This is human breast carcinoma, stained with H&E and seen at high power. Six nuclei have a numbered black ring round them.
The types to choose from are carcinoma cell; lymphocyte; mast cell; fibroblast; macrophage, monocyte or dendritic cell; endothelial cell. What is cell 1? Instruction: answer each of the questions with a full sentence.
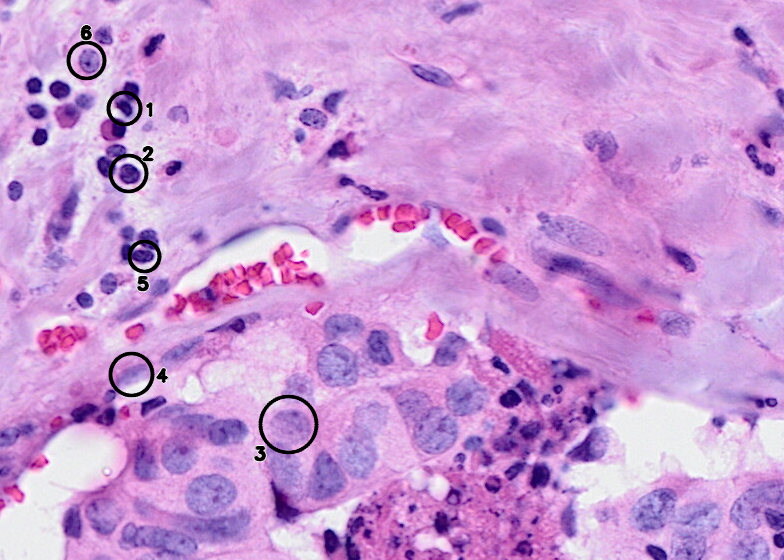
Among the marked cells, number 1 is a lymphocyte.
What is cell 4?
Among the marked nuclei, number 4 belongs to an endothelial cell.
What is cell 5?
The label 5 in this section denotes a lymphocyte.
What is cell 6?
Among the marked nuclei, number 6 belongs to a mast cell.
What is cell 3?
Belonging to a carcinoma cell is the nucleus that carries the number 3.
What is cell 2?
Identified by the number 2, the cell is a lymphocyte.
